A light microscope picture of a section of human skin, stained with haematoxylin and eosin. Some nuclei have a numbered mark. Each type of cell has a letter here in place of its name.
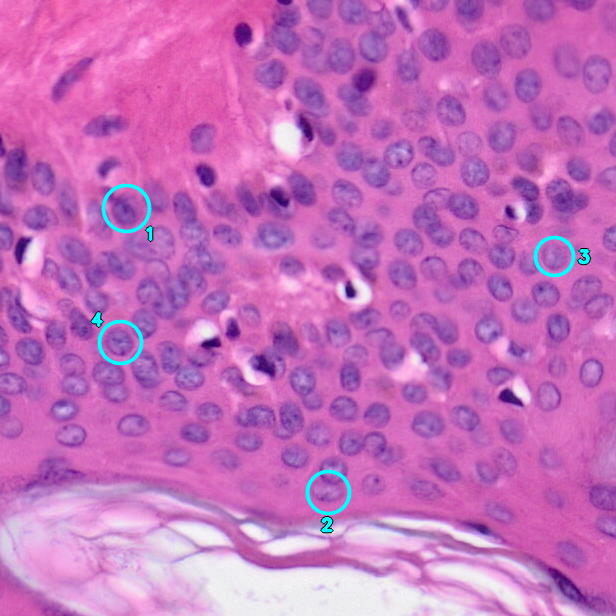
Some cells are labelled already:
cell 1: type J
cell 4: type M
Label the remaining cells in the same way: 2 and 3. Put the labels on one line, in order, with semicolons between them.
type M; type M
